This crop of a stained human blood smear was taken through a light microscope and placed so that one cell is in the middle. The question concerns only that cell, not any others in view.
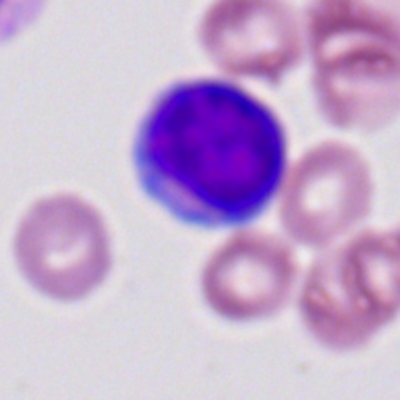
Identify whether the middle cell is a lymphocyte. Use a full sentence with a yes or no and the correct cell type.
Yes, this crop has a lymphocyte at its centre.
